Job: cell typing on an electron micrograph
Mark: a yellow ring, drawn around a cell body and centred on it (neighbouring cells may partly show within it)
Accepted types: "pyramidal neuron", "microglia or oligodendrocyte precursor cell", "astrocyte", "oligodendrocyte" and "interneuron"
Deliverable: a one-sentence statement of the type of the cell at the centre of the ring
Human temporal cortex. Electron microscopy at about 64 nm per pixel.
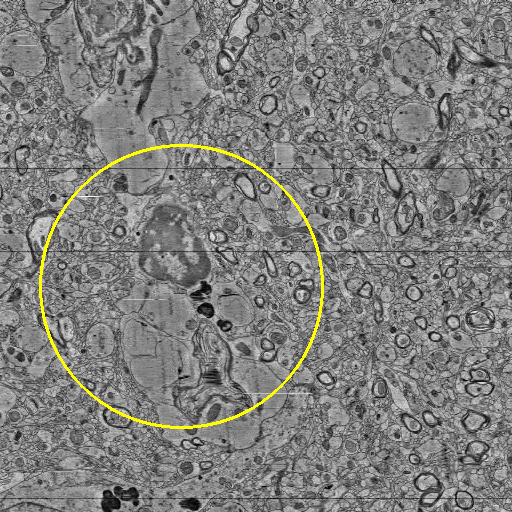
The centred cell body is that of a microglial cell or oligodendrocyte precursor cell.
